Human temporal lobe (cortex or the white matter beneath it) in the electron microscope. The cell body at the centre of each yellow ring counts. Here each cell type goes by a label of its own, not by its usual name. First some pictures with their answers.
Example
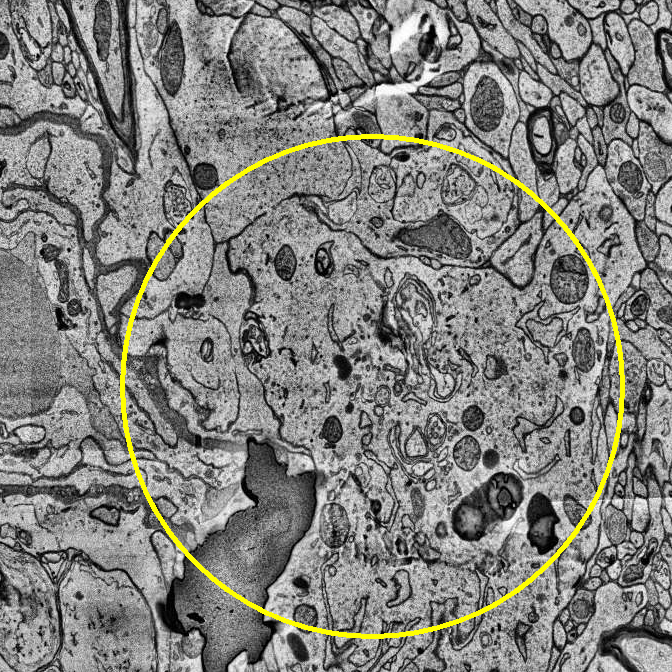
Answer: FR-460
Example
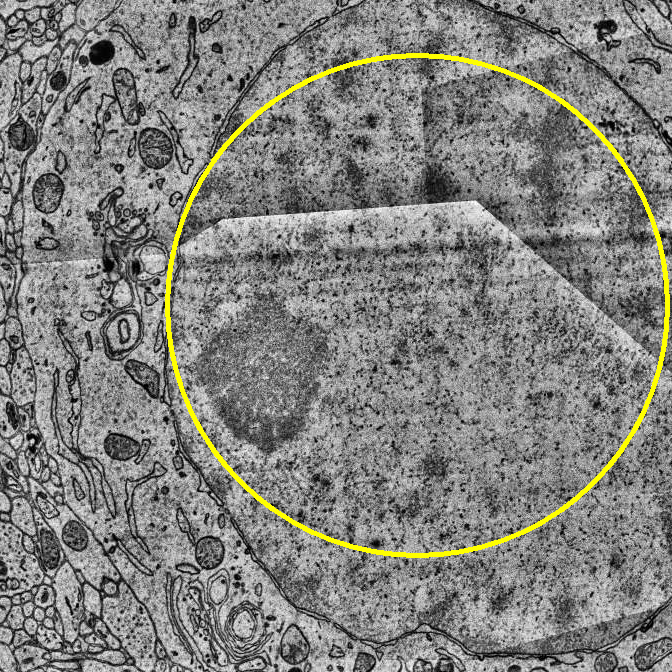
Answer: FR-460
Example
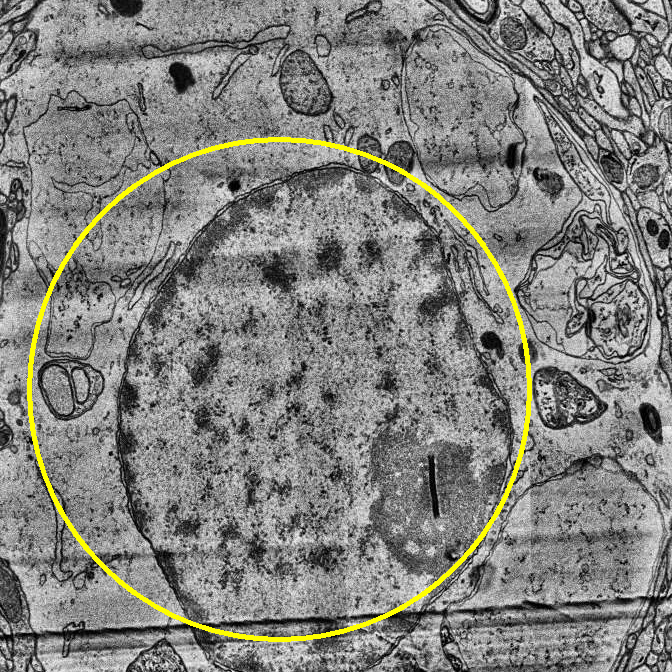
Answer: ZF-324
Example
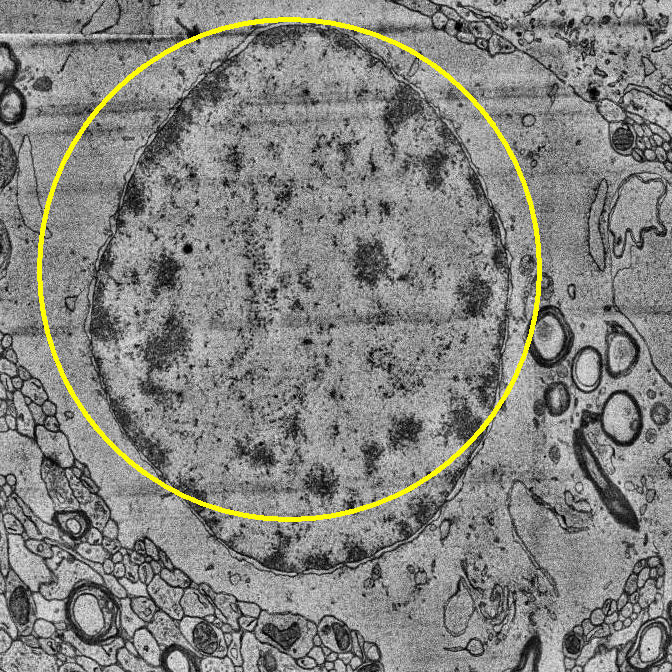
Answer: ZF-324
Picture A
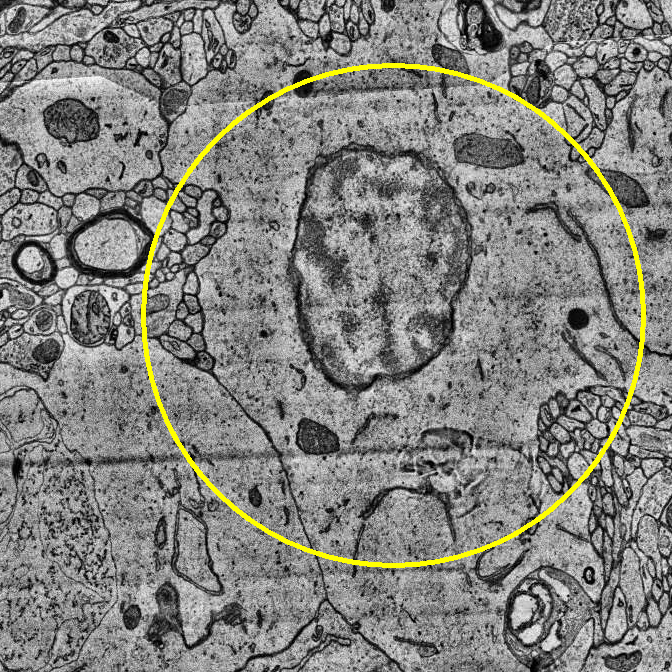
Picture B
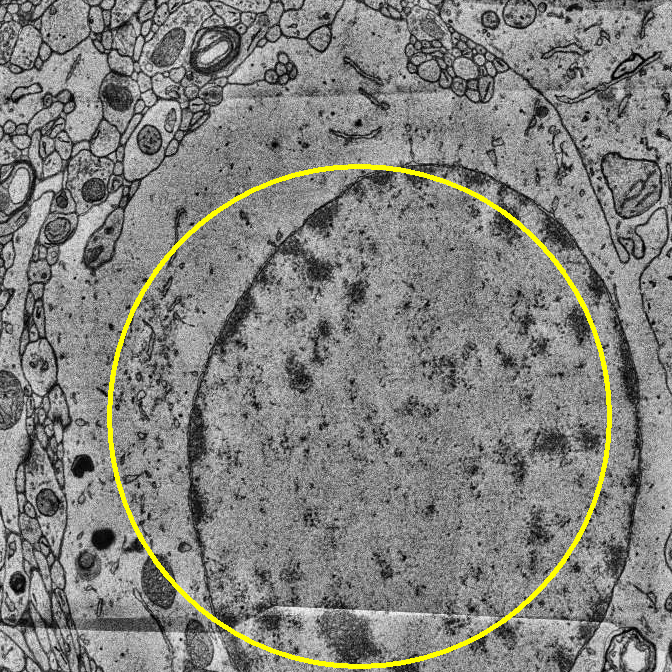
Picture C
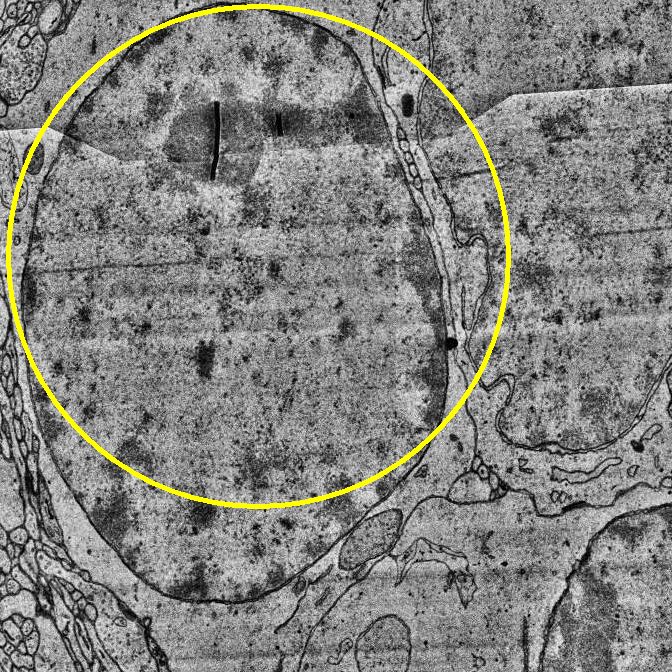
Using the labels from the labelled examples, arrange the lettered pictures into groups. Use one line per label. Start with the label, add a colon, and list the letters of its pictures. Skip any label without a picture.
ZF-324: A, B, C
